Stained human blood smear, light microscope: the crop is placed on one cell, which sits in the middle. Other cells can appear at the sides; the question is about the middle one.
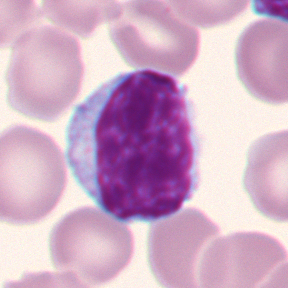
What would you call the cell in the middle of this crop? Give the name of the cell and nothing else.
lymphocyte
